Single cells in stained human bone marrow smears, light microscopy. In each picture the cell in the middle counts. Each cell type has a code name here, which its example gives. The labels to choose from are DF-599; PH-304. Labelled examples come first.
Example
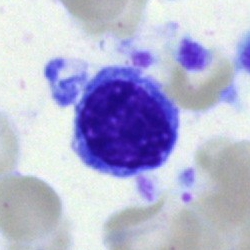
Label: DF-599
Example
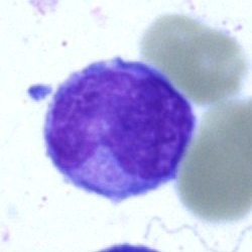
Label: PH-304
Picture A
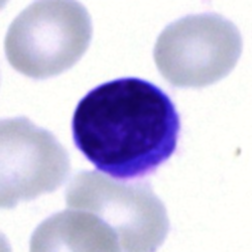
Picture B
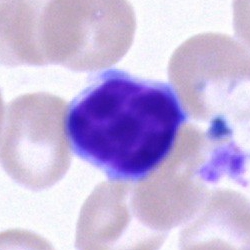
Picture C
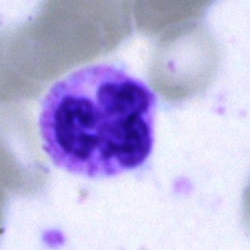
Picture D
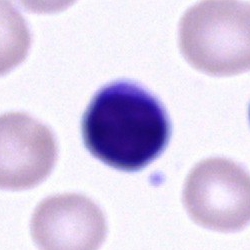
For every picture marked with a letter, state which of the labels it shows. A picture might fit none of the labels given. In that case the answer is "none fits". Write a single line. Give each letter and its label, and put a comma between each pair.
A DF-599, B DF-599, C none fits, D DF-599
